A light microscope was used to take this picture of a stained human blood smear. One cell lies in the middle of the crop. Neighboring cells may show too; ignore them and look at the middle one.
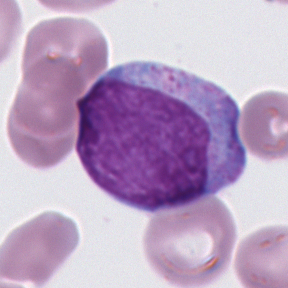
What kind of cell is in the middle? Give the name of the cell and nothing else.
atypical promyelocyte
